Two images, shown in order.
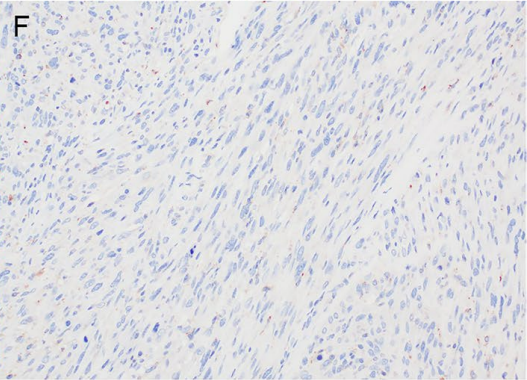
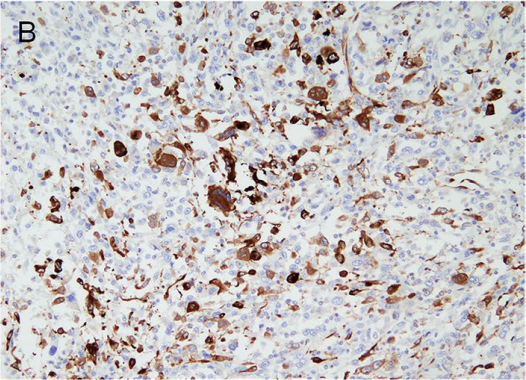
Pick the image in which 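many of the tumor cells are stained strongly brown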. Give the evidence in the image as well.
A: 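First image: spindle cells show only blue nuclei with no brown stain. Second image: many large irregular cells are filled with dark brown stain.
Conclusion: the second image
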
